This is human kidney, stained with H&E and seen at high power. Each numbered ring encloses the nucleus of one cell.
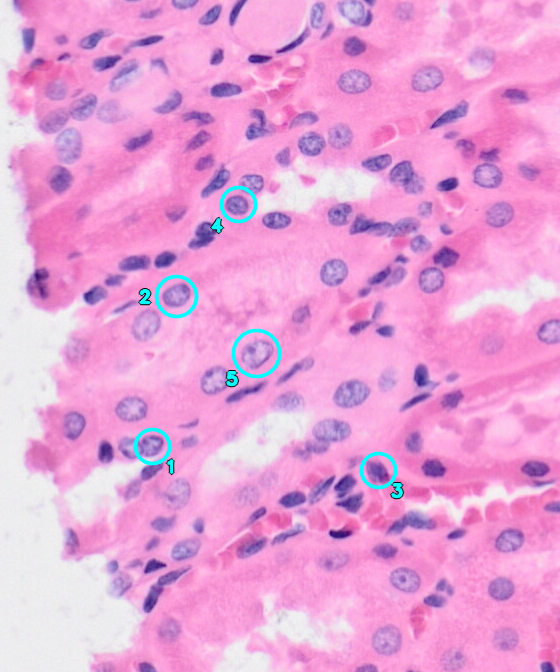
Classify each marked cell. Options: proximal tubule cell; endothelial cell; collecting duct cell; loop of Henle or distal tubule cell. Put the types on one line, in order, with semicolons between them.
loop of Henle or distal tubule cell; proximal tubule cell; endothelial cell; loop of Henle or distal tubule cell; proximal tubule cell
